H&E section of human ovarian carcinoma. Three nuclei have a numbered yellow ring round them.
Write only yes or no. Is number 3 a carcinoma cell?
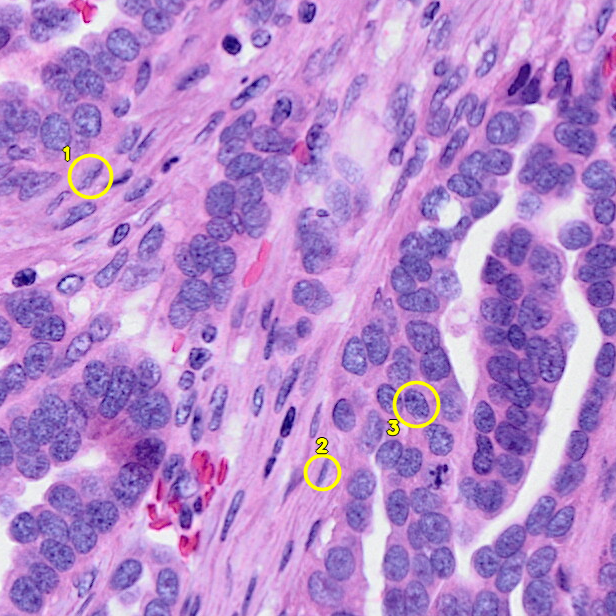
yes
